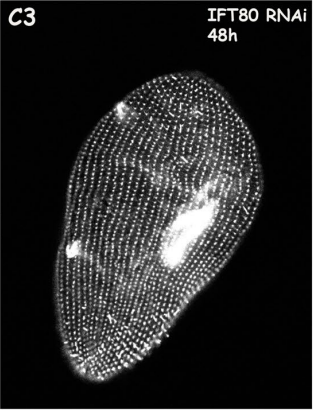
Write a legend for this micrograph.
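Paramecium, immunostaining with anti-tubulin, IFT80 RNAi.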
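An oval single cell shows its surface marked by neat longitudinal rows of small bright dots, with a bright elongated patch inside, but almost no long filaments project from it. The cell has lost almost all of its cilia, leaving only the ordered surface pattern.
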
